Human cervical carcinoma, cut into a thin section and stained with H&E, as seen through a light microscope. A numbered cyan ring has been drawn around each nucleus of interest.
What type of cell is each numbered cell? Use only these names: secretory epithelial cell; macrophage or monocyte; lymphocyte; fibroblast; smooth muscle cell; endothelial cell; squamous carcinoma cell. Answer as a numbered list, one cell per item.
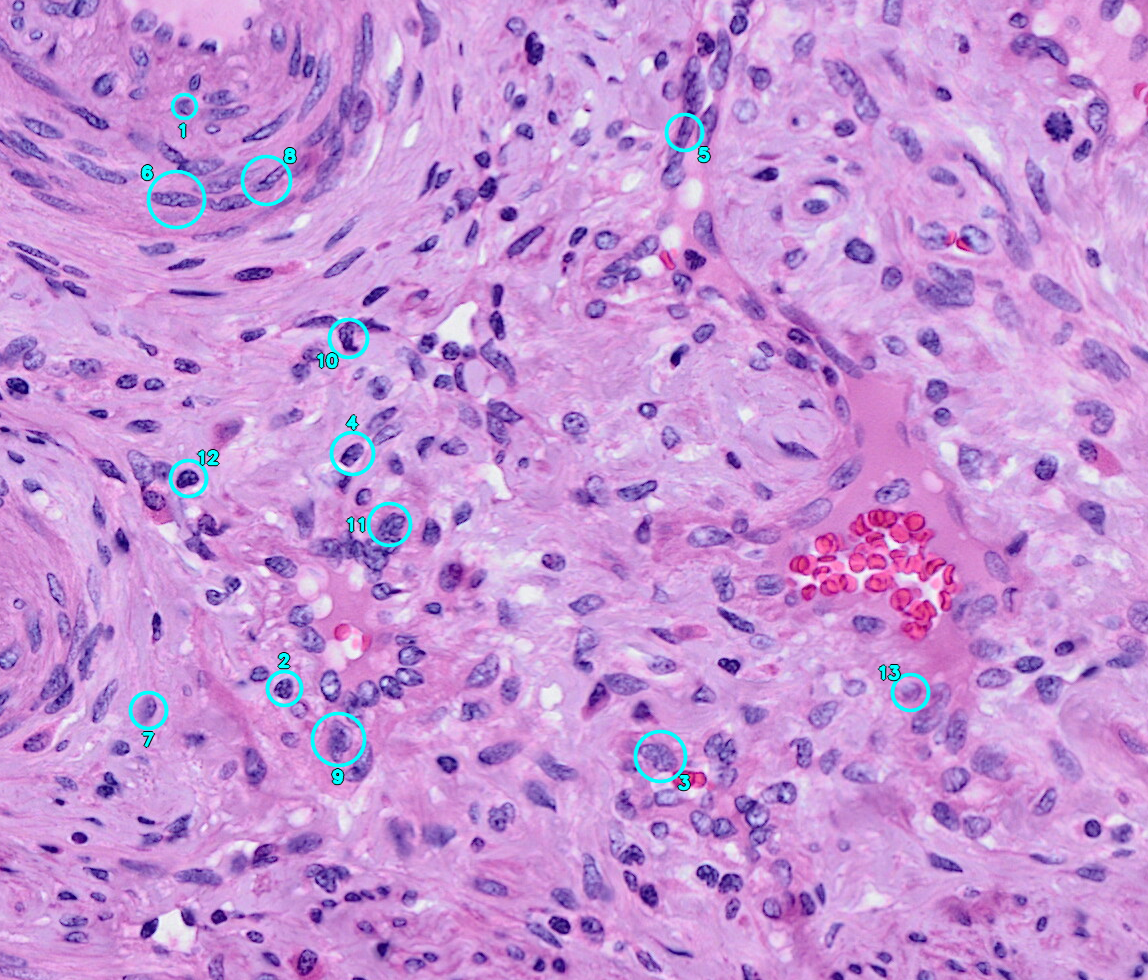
1. smooth muscle cell
2. lymphocyte
3. endothelial cell
4. lymphocyte
5. endothelial cell
6. smooth muscle cell
7. fibroblast
8. smooth muscle cell
9. endothelial cell
10. lymphocyte
11. endothelial cell
12. lymphocyte
13. endothelial cell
